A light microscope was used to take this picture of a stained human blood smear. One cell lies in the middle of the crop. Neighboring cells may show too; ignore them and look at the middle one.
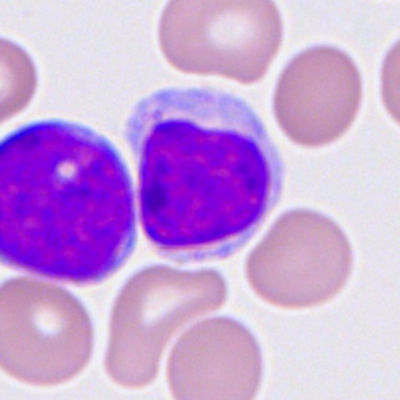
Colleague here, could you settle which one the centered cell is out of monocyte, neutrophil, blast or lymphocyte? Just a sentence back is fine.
Classified as a lymphocyte is the cell in the middle of this crop.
